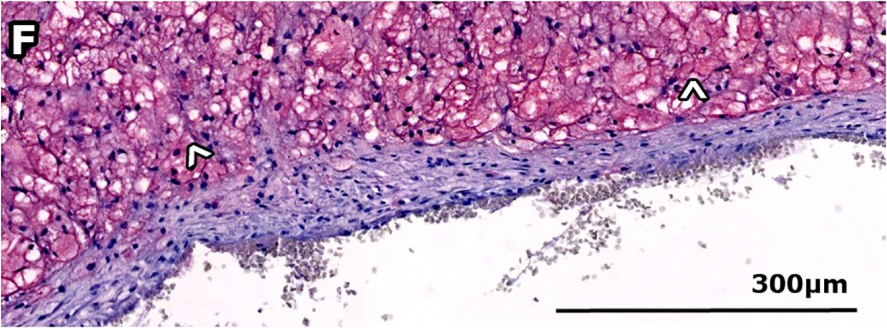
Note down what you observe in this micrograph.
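This high-power view of an atherosclerotic plaque shows a dense sheet of macrophages with abundant foamy cytoplasm. The cells are large and polygonal to round, their cytoplasm pink-red and filled with clear vacuoles, each with a small dark nucleus. Along the luminal side runs a blue-staining fibrous layer containing elongated nuclei, separating the macrophages from the lumen, where scattered red blood cells lie.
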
